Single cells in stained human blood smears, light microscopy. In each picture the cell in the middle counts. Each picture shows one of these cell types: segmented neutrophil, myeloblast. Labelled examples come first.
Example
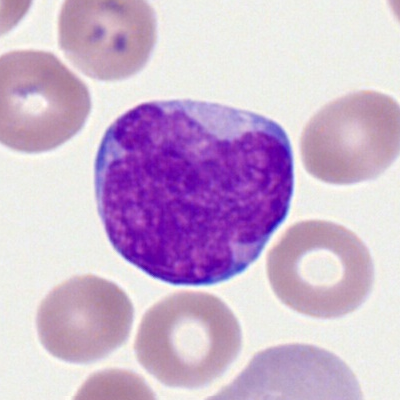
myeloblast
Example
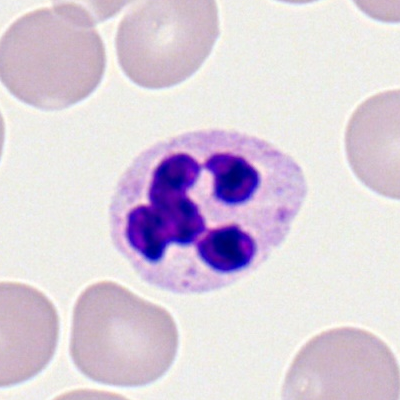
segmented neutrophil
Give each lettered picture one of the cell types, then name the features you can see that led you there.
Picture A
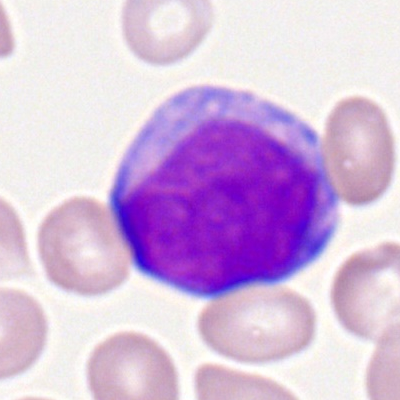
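myeloblast: The cytoplasm is blue and stains deepest along the outer edge of the cell.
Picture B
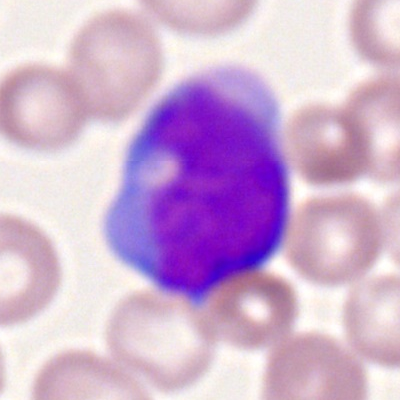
myeloblast: The nucleus fills most of the cell.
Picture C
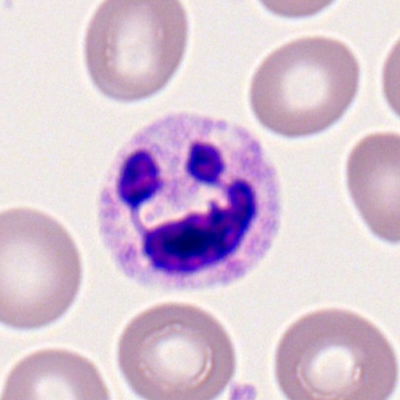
segmented neutrophil: The nucleus is split into three separate lobes.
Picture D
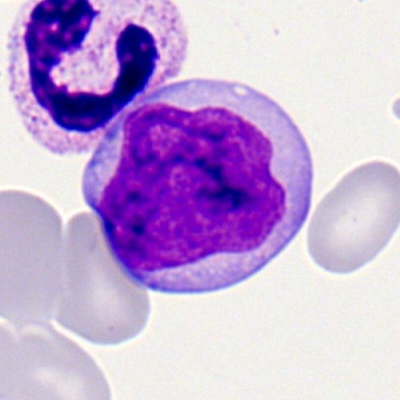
myeloblast: The nucleus fills most of the cell.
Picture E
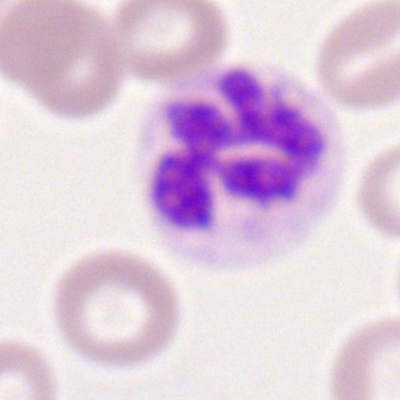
segmented neutrophil: The nucleus is divided into several separate lobes.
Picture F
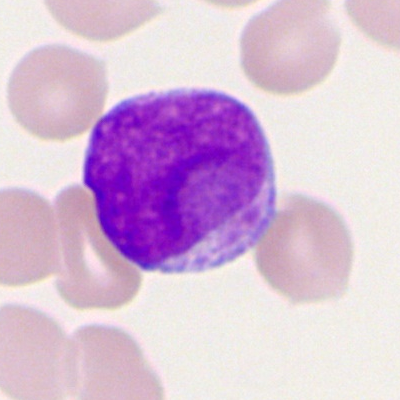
myeloblast: The cytoplasm is scant, forming a narrow pale lilac-blue crescent along the lower right edge.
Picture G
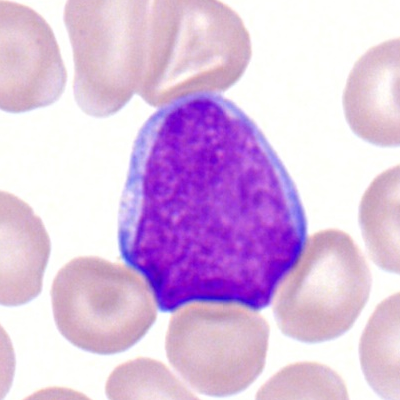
myeloblast: The nucleus is a single unlobed mass that fills most of the cell.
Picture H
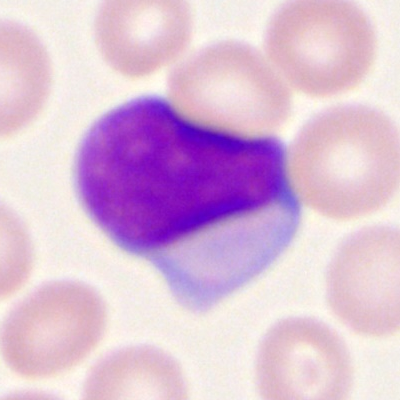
myeloblast: The nucleus is a single unlobed mass.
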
